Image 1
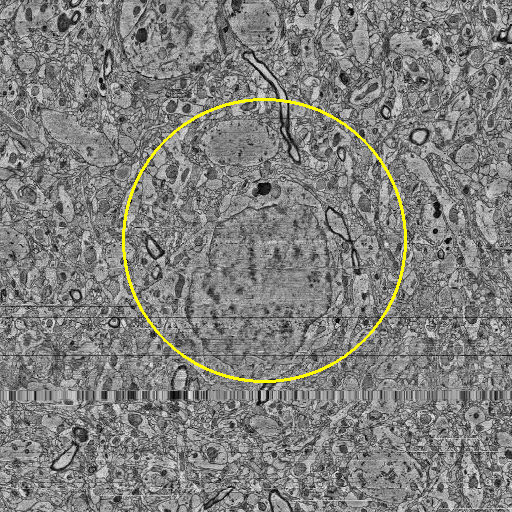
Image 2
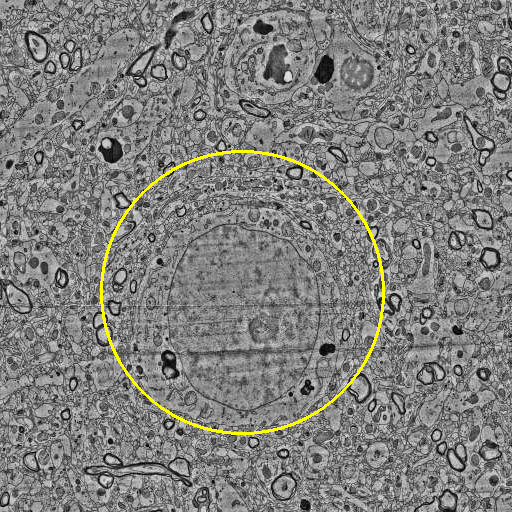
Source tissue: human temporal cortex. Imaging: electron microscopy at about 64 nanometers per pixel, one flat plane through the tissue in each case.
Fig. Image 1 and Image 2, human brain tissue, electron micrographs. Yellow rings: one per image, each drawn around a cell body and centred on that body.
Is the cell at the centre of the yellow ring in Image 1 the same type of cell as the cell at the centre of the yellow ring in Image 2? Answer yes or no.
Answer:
no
